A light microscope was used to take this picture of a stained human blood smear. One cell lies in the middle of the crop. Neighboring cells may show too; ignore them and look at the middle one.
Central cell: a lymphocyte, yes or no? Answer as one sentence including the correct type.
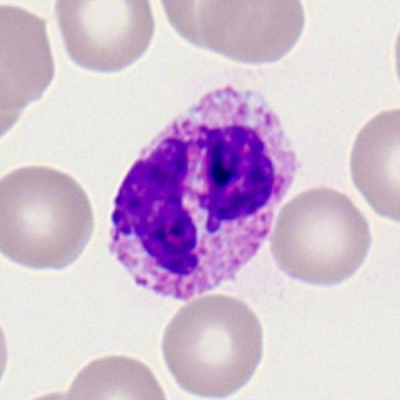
No, that would be a basophil, not a lymphocyte, for the cell at the centre.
